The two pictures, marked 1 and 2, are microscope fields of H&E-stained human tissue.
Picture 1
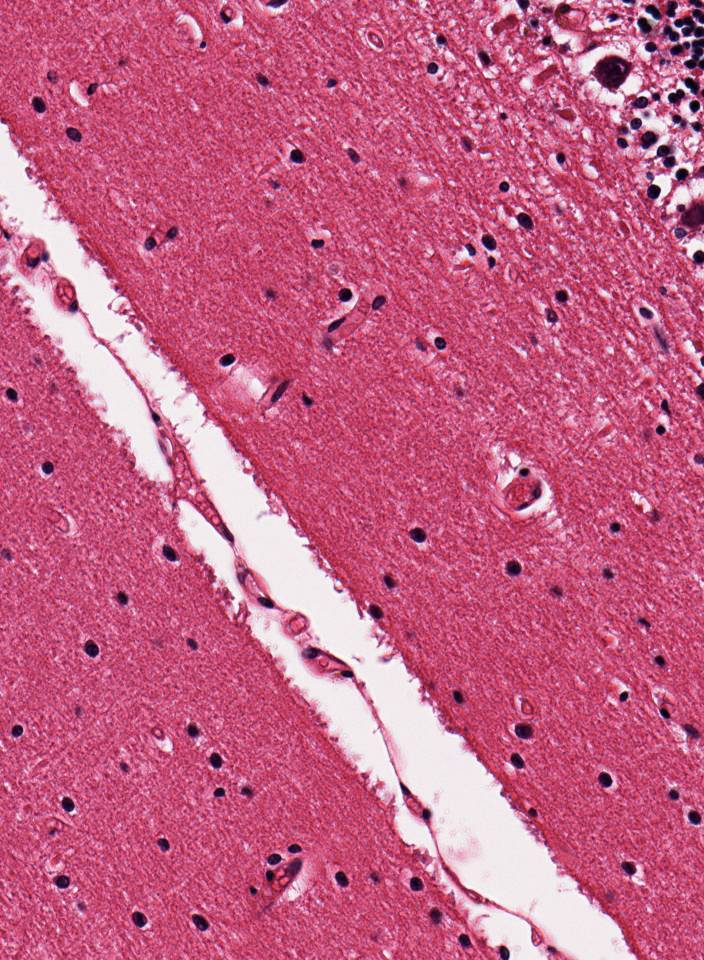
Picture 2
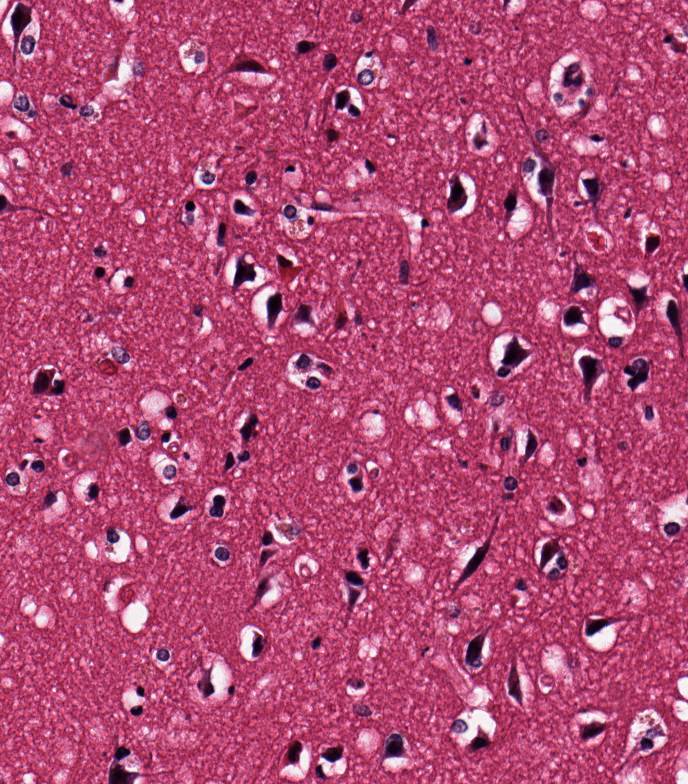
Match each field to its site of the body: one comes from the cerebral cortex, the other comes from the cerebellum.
1: cerebellum
2: cerebral cortex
